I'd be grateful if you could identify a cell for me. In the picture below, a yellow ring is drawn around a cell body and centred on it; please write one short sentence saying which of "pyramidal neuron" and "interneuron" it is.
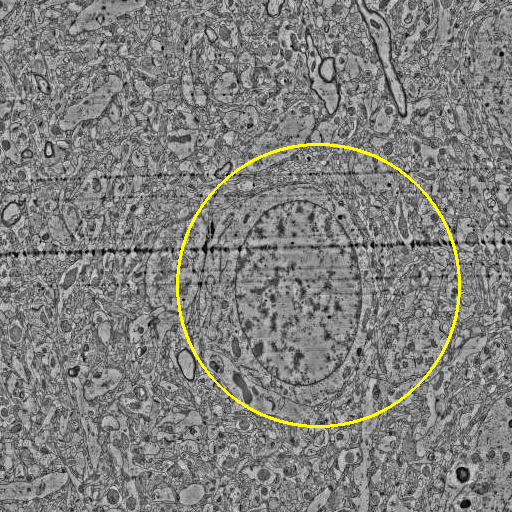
The cell under the ring's centre is a pyramidal neuron.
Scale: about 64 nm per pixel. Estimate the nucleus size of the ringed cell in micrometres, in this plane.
Roughly 12 micrometres by 8 micrometres, in this plane.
